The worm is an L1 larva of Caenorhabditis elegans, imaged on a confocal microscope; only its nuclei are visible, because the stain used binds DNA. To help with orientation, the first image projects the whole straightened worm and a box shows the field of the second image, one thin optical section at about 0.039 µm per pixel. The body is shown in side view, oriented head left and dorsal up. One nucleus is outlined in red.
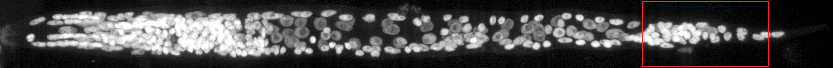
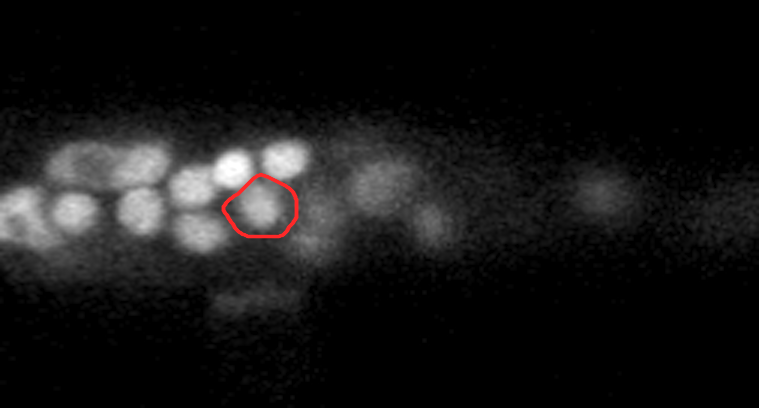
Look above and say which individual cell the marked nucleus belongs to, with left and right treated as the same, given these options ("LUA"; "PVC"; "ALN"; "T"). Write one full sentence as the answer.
The nucleus is from PVC, a neuron.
